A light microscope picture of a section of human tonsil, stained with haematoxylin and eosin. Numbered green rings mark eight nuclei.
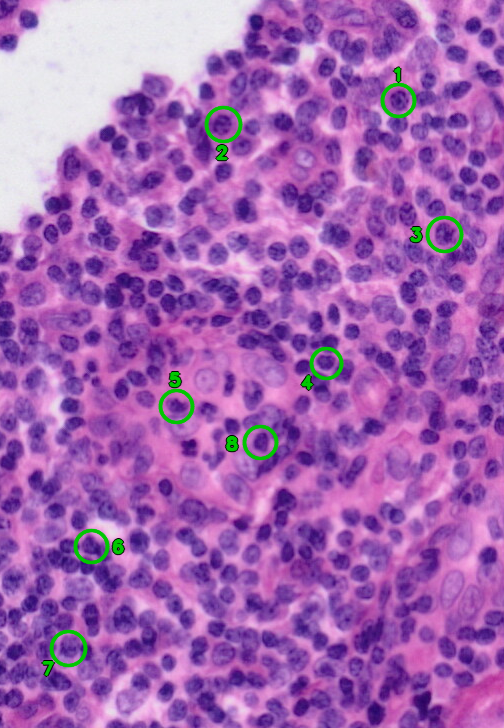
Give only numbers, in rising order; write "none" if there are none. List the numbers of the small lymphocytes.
4, 6, 7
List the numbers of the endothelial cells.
5, 8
